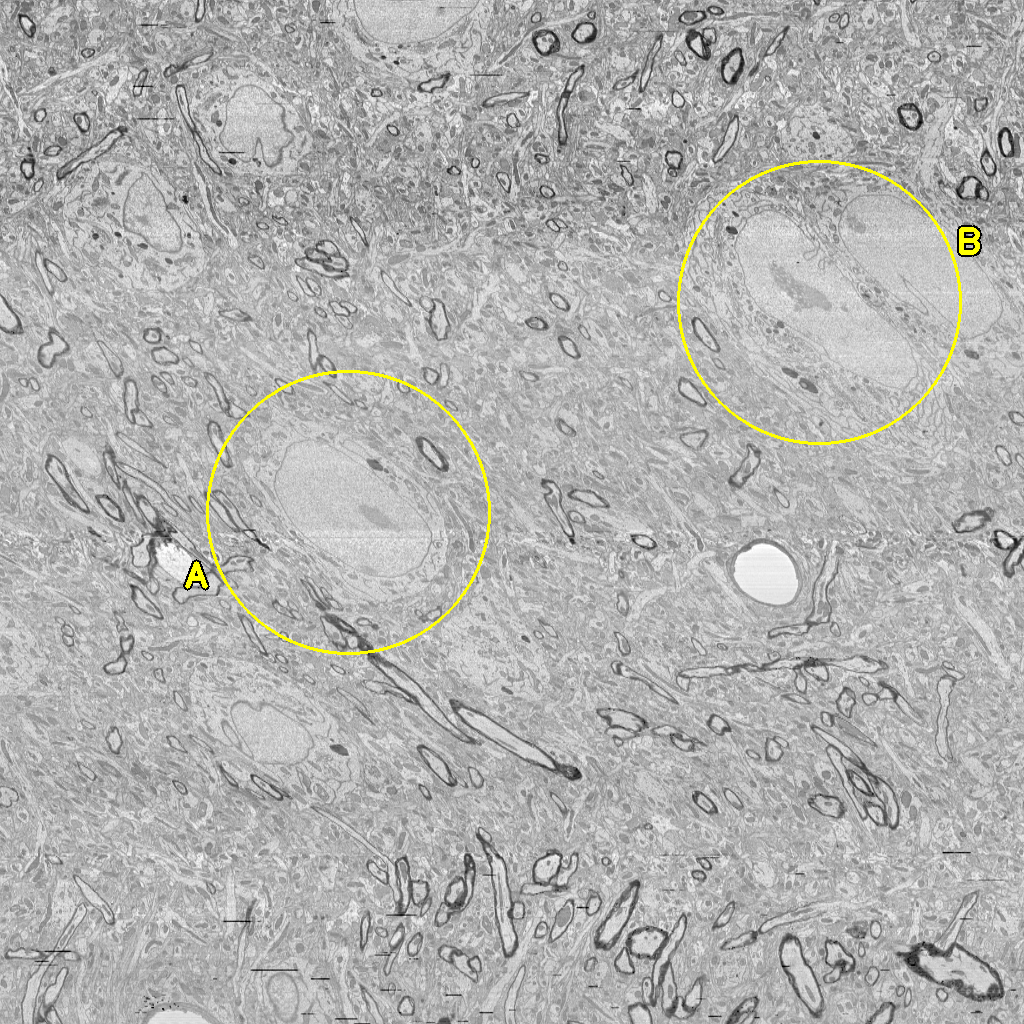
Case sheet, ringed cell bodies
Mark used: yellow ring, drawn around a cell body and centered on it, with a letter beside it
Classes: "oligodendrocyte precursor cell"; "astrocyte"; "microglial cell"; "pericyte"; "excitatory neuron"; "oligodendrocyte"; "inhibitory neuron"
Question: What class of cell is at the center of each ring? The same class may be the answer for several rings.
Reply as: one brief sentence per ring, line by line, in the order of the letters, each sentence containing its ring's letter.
Ring A has an excitatory neuron at its center.
Ring B has an inhibitory neuron at its center.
